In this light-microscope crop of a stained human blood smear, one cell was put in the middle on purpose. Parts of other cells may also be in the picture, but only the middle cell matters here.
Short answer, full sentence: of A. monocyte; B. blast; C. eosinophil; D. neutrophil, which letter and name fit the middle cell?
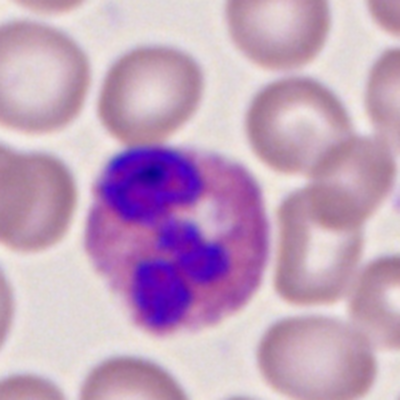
Option C correctly states that the central cell is an eosinophil.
